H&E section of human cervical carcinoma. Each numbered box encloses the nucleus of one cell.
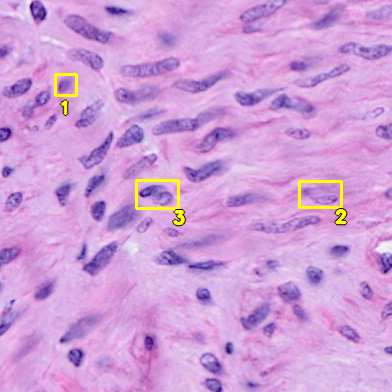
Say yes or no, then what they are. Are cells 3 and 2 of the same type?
No, cell 3 is a fibroblast and cell 2 is a smooth muscle cell.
